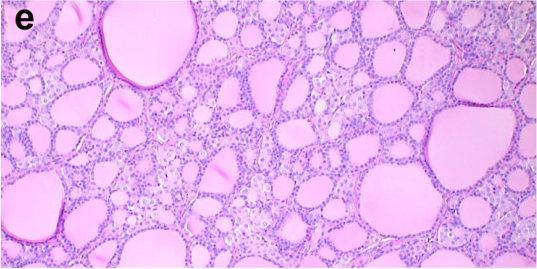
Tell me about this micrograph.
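Thyroid gland with colloid follicles of widely varying size, filled with homogeneous pink colloid. The follicles are lined by a single layer of flattened to cuboidal epithelial cells with small dark nuclei. Between the follicles lie numerous clusters of larger cells with abundant pale to clear cytoplasm and round nuclei, consistent with C-cells. These interfollicular cell groups are prominent and separate many of the follicles.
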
